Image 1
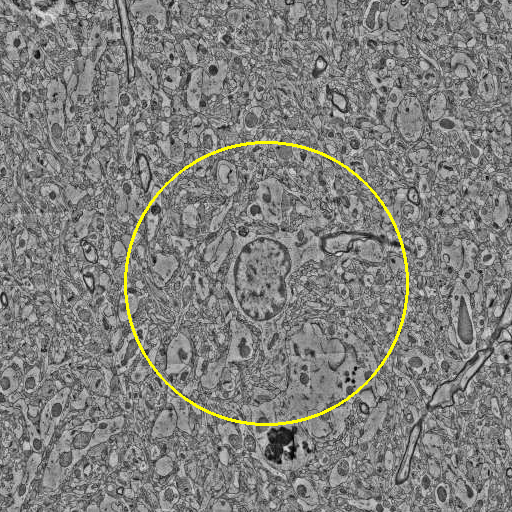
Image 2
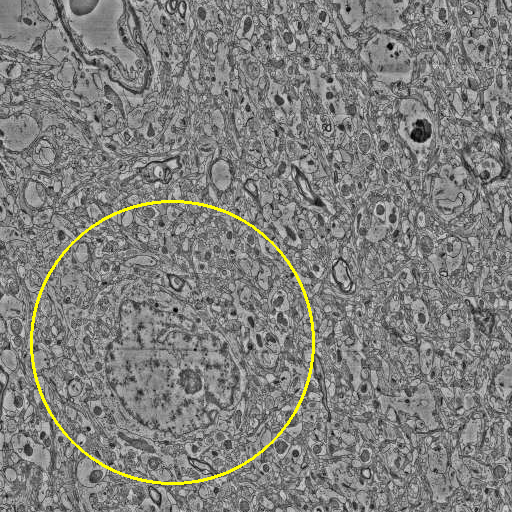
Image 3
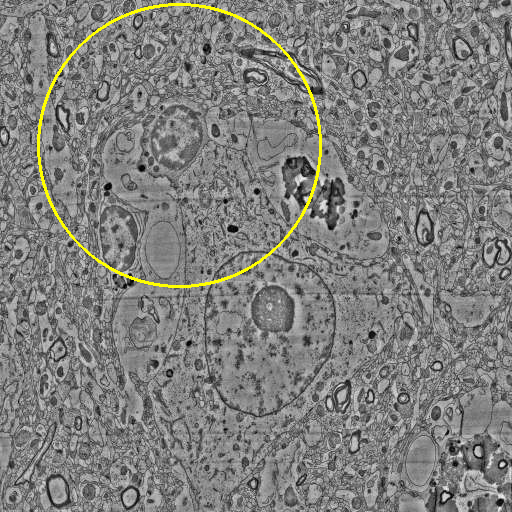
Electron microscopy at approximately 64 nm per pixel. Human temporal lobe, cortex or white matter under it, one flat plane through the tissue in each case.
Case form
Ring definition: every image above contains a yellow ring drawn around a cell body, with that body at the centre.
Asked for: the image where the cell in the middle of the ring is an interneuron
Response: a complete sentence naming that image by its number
Image 2 is the one.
